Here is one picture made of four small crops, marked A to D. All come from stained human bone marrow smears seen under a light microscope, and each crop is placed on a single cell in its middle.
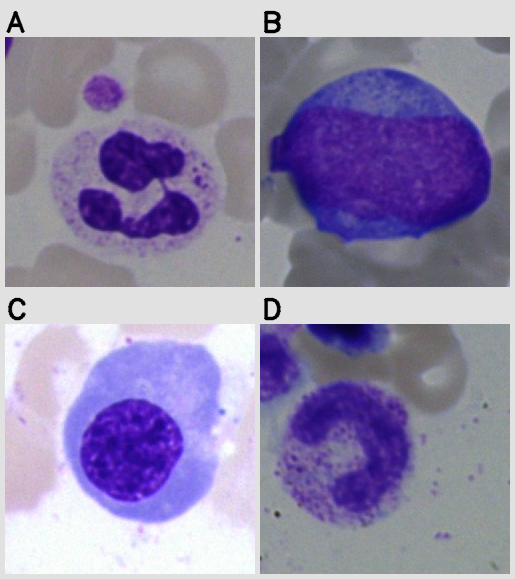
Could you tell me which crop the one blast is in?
B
